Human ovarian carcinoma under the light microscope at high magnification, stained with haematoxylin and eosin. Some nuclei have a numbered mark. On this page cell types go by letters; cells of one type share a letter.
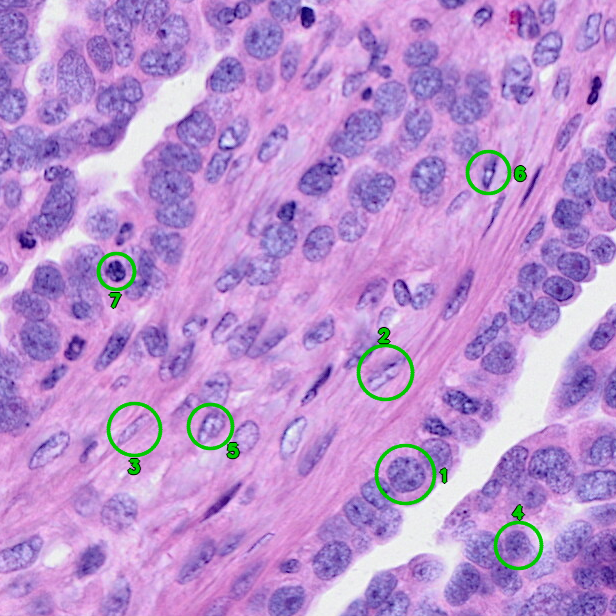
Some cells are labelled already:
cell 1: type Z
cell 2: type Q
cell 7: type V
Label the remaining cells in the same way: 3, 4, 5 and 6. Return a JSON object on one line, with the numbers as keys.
{"3": "type Q", "4": "type Z", "5": "type Q", "6": "type Q"}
